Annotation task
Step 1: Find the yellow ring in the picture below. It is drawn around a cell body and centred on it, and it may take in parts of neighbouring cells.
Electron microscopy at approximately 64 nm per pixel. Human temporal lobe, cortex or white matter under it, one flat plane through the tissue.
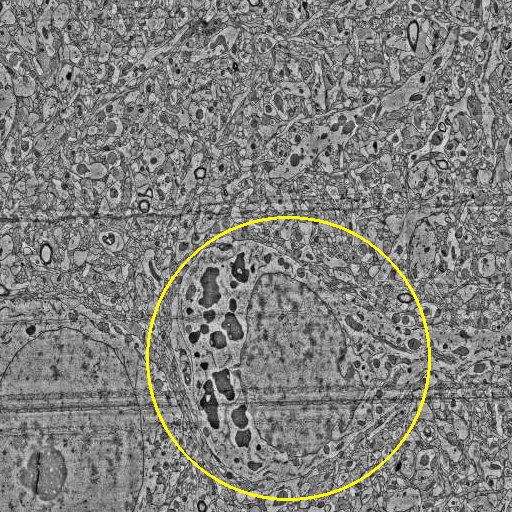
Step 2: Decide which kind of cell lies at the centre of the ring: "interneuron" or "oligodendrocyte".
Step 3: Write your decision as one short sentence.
The kind of cell at the ring's centre is an interneuron.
